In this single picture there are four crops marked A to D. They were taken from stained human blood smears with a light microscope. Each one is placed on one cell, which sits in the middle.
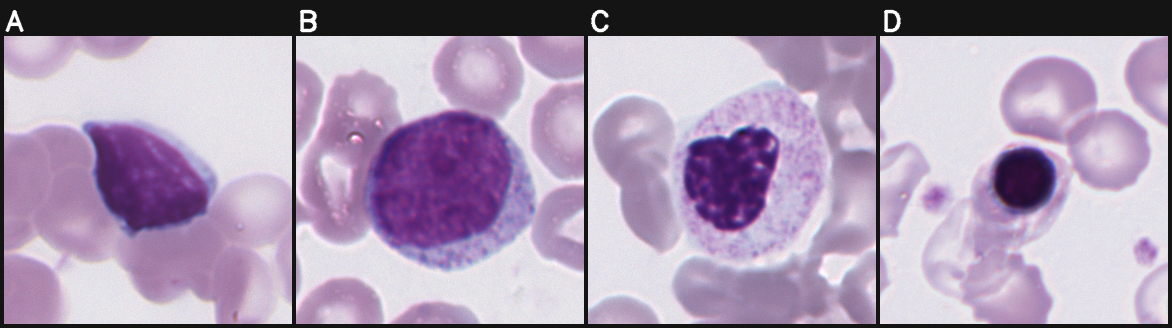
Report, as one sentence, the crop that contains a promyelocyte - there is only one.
Crop B is the one in this set that shows a promyelocyte.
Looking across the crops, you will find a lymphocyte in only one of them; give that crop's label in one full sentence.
The crop marked A is the one in which a lymphocyte is shown.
